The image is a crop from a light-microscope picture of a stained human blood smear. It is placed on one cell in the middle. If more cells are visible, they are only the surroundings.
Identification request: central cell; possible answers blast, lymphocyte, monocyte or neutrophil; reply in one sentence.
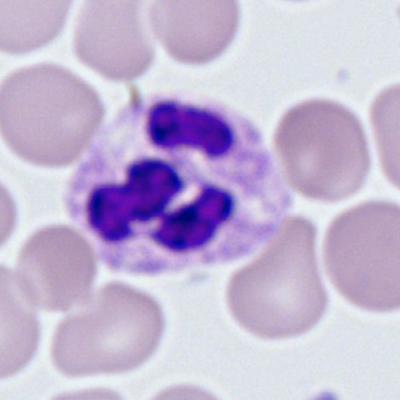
The cell at the middle of the crop is recognized as a neutrophil.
